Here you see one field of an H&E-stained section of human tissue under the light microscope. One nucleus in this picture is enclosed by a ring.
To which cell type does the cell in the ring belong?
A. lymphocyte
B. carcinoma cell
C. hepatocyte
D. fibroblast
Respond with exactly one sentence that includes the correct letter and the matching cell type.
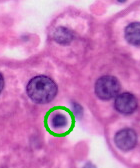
Option A is the one to take: the cell in the ring is a lymphocyte.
